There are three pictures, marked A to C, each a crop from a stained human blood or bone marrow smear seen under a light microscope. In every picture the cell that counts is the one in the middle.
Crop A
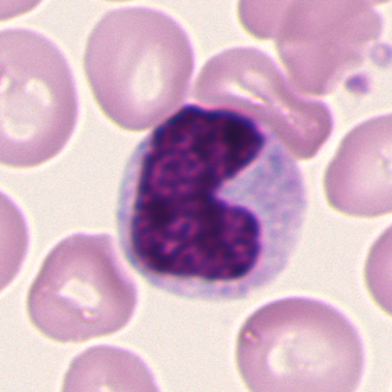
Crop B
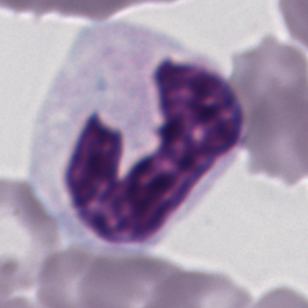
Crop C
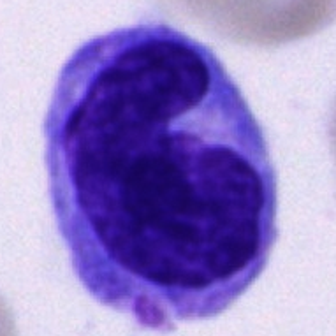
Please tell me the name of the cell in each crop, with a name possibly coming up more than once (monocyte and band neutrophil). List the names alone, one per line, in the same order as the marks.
band neutrophil
band neutrophil
monocyte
